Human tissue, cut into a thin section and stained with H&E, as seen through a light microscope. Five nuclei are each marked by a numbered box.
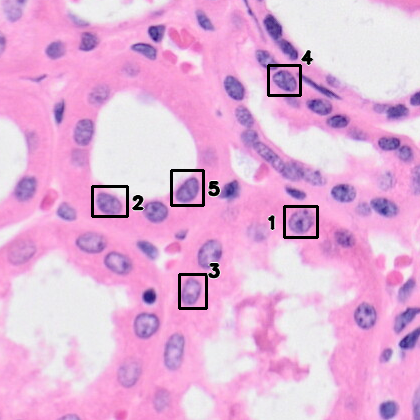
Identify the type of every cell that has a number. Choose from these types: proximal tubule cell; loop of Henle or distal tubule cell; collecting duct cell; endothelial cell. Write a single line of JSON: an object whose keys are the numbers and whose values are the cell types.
{"1": "proximal tubule cell", "2": "loop of Henle or distal tubule cell", "3": "proximal tubule cell", "4": "collecting duct cell", "5": "loop of Henle or distal tubule cell"}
